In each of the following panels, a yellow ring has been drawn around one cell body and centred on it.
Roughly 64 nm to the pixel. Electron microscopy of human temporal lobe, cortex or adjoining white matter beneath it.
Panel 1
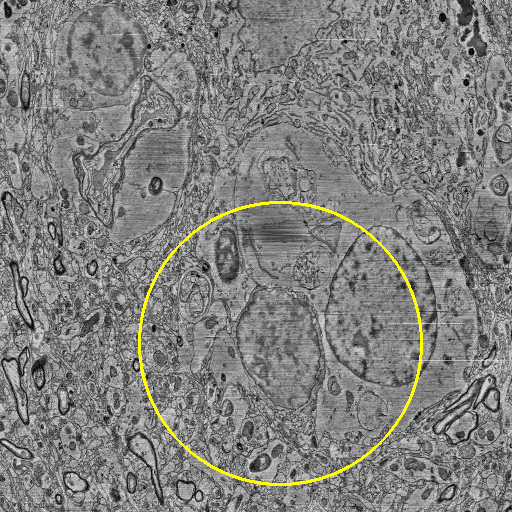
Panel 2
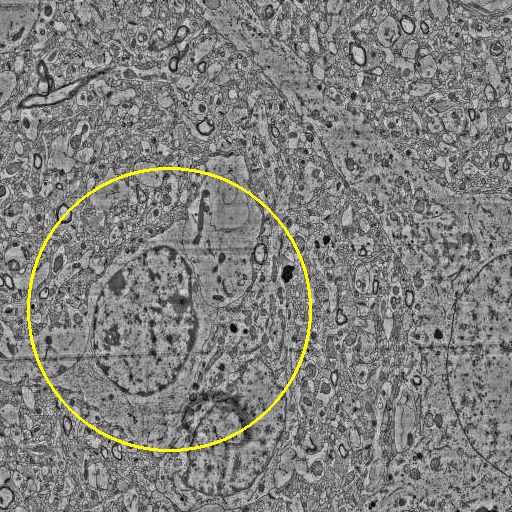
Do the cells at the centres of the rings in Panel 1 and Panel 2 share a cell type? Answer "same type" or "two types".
two types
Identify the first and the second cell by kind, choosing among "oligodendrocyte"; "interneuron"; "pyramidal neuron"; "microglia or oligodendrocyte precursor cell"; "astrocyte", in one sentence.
The one in the first picture is an oligodendrocyte, while the one in the second is an astrocyte.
